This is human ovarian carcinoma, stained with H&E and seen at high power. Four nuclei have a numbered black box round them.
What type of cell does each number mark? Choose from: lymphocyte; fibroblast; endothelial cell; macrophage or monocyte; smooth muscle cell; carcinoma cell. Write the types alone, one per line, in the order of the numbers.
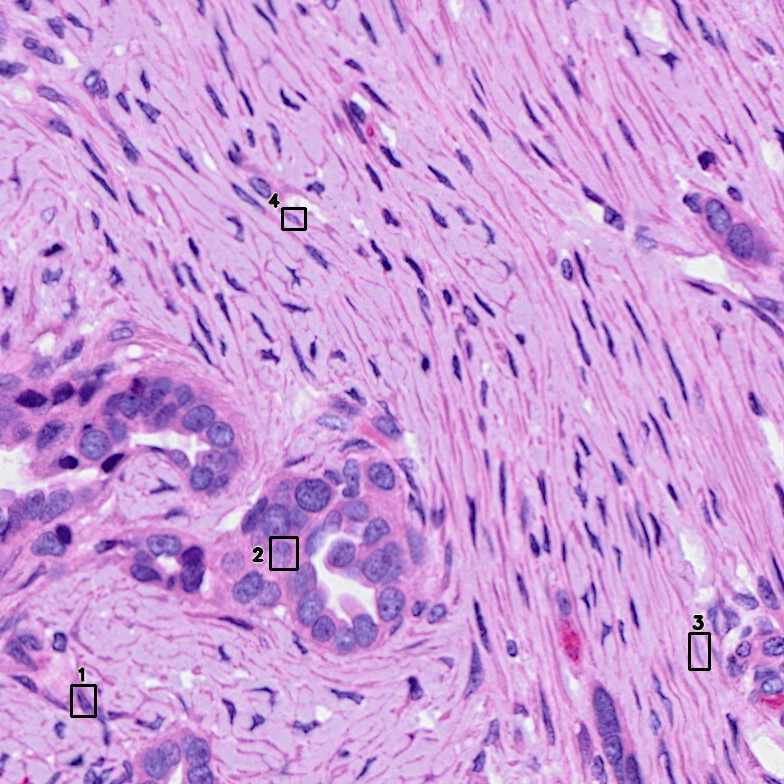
fibroblast
carcinoma cell
fibroblast
fibroblast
